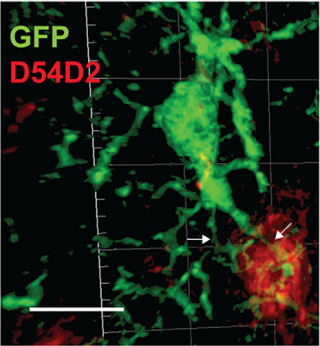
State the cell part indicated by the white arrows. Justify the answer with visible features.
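Thin green branches extend from a single green cell body toward a red patch. The green cell body lies apart from the red patch. That points to this answer: processes.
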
